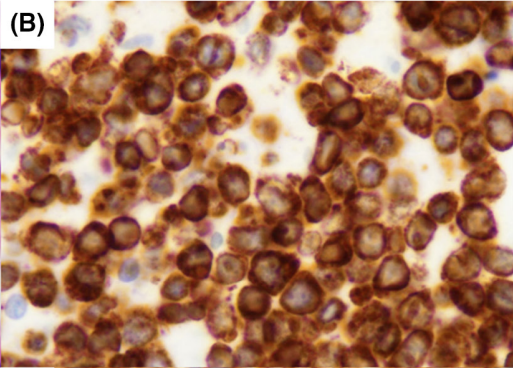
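Densely packed rounded cells of intermediate to large size fill the field. Almost every cell shows a strong brown rim along its membrane with lighter brown cytoplasm, outlining each cell like a ring. A few blue nuclei without brown staining are scattered among them.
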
